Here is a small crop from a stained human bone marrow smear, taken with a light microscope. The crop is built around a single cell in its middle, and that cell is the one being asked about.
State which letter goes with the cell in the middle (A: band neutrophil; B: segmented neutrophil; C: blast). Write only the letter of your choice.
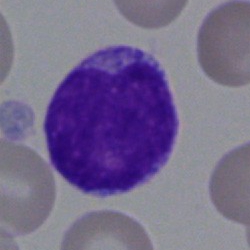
C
